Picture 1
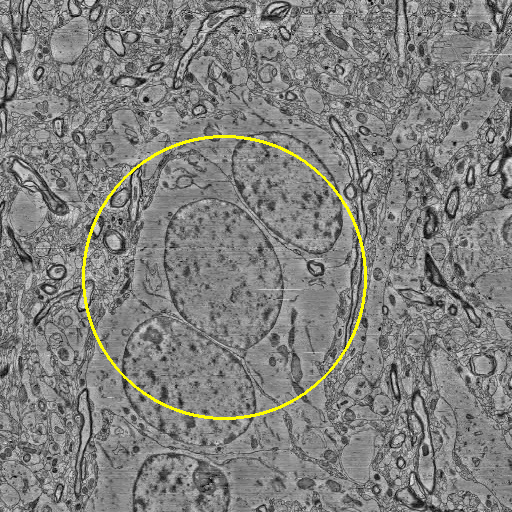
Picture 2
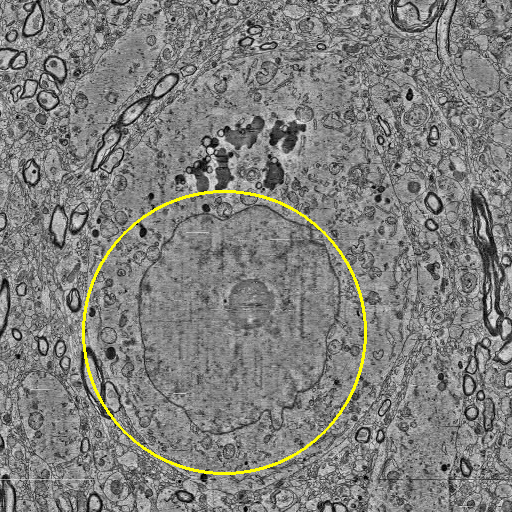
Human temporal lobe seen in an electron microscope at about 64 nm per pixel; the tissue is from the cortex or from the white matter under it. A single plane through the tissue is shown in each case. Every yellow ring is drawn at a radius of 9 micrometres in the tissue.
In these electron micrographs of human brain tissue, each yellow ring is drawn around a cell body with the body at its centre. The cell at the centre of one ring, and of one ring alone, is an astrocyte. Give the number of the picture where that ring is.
1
